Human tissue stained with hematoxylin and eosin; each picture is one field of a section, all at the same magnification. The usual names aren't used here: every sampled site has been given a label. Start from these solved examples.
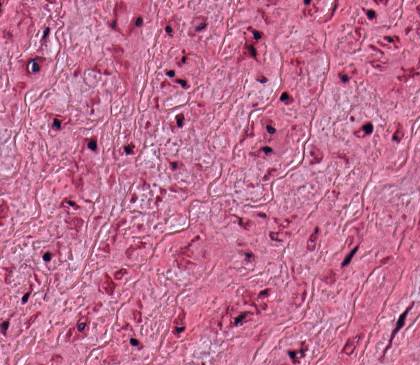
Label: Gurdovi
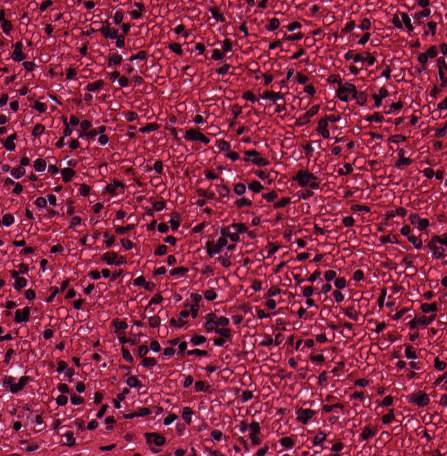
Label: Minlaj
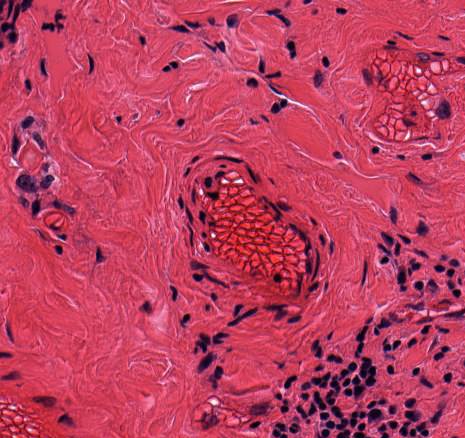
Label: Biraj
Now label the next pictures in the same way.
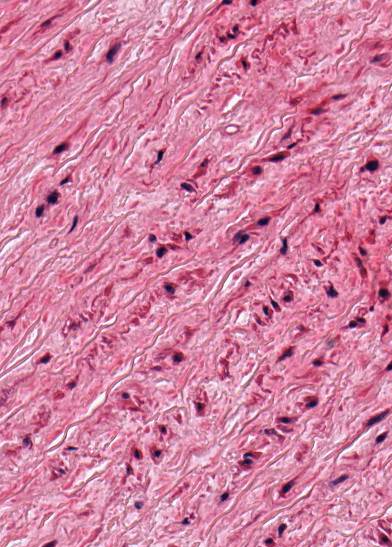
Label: Gurdovi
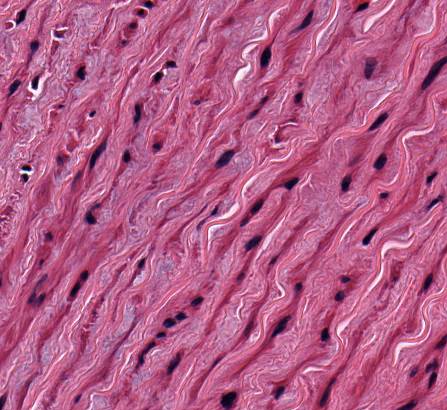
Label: Gurdovi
